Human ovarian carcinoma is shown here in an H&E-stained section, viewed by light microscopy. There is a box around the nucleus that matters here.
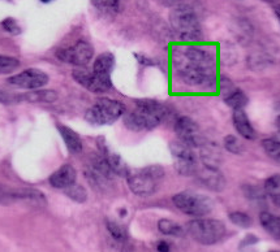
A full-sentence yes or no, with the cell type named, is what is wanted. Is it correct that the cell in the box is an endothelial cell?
No, the cell in the box is not an endothelial cell; a carcinoma cell is what it is.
